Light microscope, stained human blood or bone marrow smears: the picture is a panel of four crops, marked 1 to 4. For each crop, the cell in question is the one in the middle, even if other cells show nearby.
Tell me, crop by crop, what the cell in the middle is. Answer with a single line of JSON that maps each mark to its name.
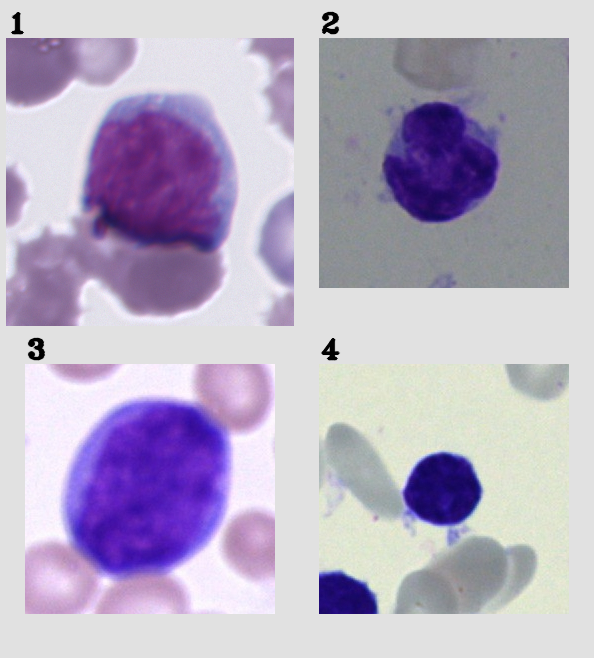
{"1": "blast", "2": "lymphocyte", "3": "blast", "4": "lymphocyte"}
